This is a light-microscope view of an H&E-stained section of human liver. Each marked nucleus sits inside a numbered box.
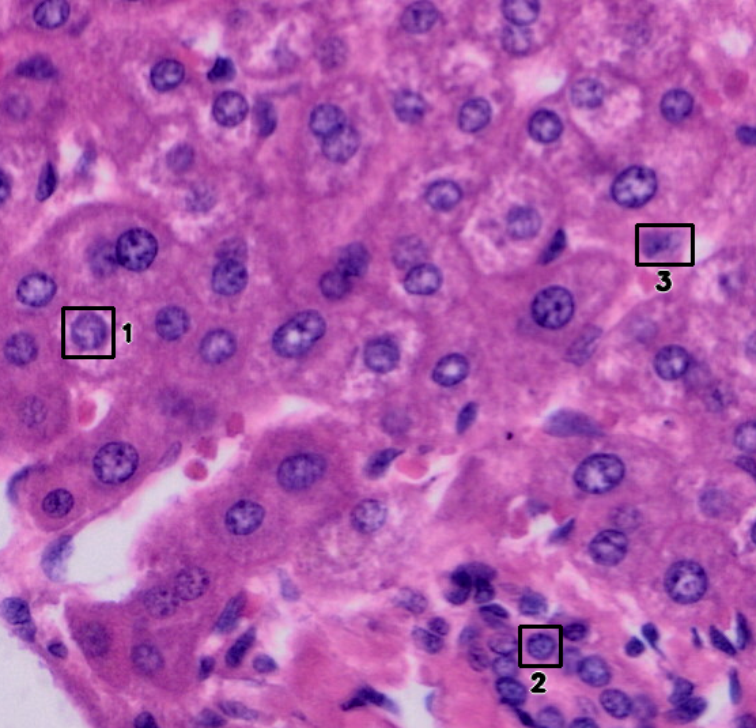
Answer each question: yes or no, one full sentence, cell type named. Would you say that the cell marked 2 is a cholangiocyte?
Yes, the cell with its nucleus marked 2 is a cholangiocyte.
